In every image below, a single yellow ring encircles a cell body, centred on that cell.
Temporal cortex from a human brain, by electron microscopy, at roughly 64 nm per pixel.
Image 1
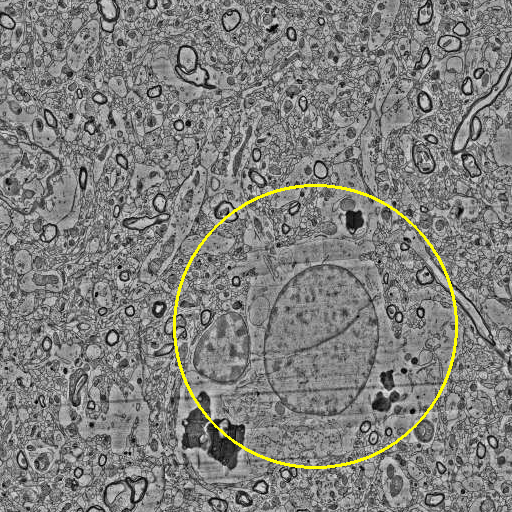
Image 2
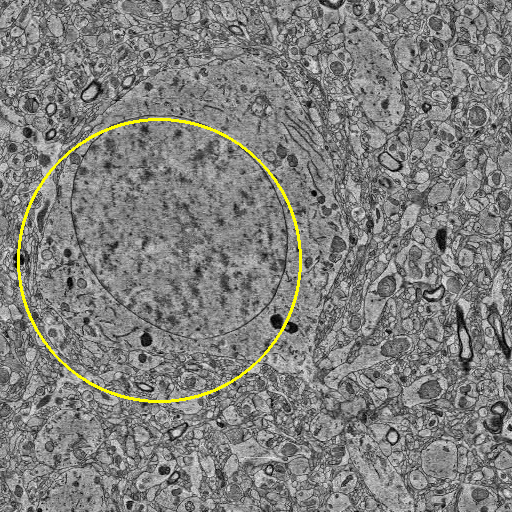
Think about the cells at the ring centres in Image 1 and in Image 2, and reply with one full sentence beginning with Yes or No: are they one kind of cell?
No, the cells centred in the rings of Image 1 and Image 2 are two kinds of cell.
